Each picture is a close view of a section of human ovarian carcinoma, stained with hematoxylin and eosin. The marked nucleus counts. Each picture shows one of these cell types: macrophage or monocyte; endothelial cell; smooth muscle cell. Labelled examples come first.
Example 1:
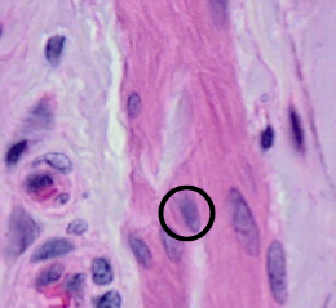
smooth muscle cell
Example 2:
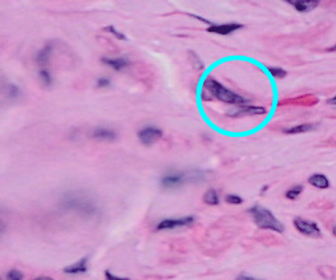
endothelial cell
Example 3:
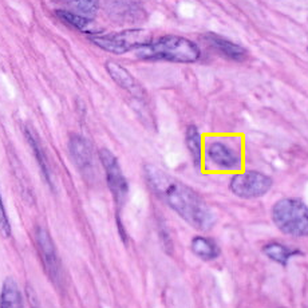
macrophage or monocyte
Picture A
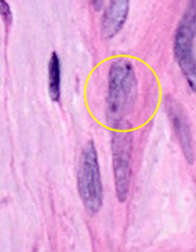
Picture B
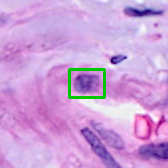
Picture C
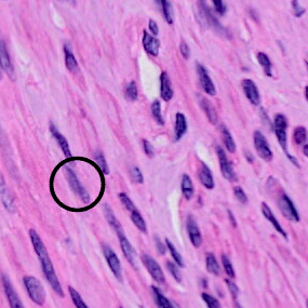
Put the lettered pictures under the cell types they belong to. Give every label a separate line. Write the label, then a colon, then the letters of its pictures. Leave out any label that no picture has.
endothelial cell: B
smooth muscle cell: A, C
